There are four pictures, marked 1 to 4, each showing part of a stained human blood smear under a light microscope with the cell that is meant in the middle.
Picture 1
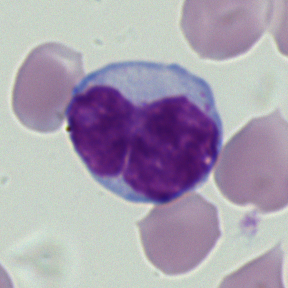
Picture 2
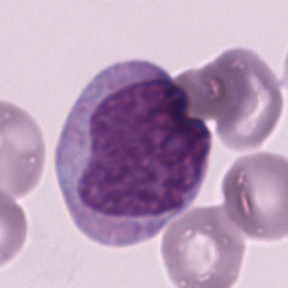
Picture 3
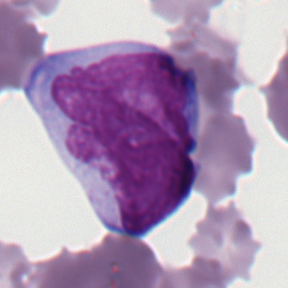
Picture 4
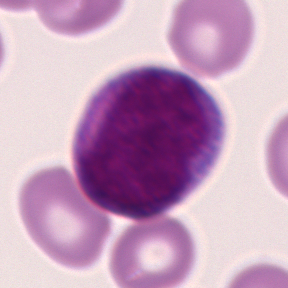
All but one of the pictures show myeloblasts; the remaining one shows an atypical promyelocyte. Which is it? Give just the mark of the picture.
2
